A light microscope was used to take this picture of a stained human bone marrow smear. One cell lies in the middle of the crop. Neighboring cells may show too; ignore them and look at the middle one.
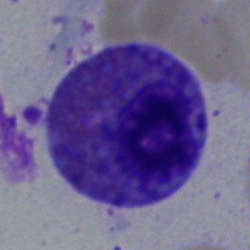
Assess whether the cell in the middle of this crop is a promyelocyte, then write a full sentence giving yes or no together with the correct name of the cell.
No, the cell placed at the center is an eosinophil rather than a promyelocyte.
